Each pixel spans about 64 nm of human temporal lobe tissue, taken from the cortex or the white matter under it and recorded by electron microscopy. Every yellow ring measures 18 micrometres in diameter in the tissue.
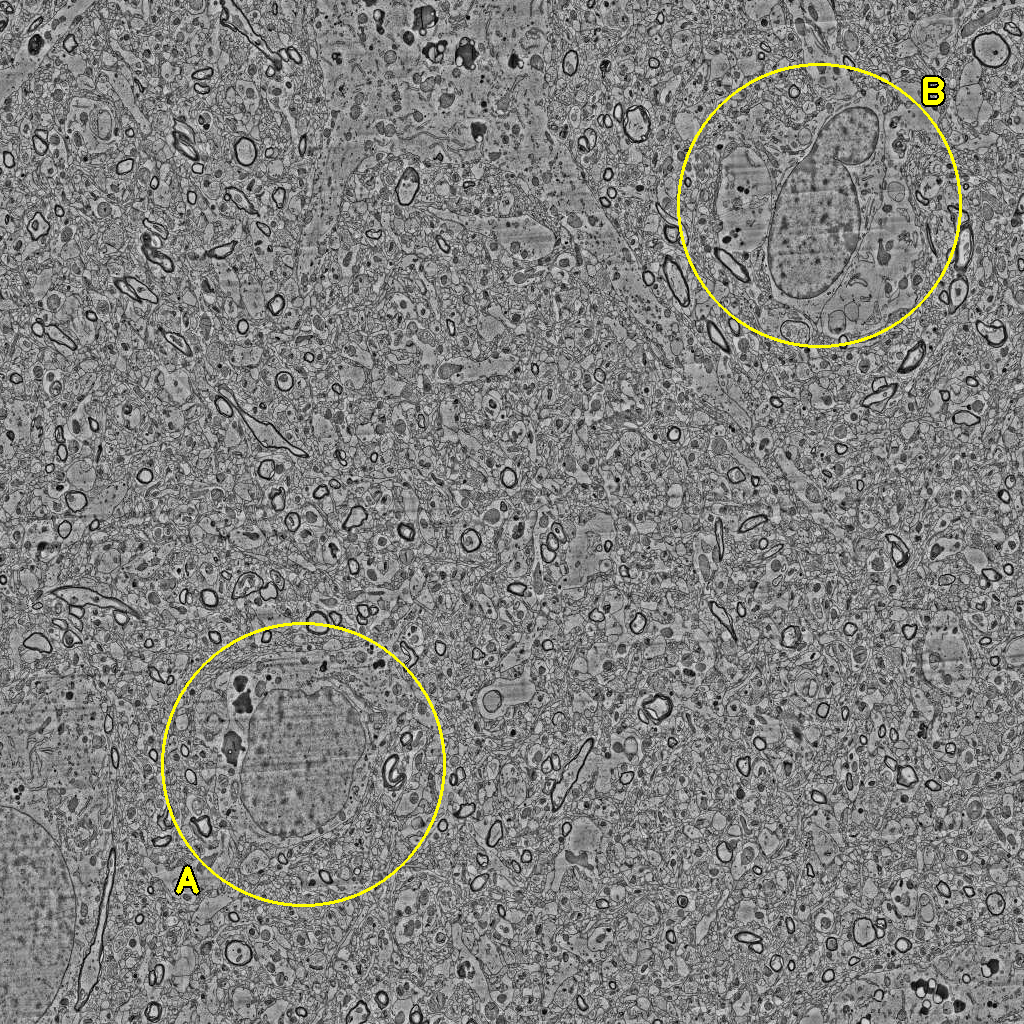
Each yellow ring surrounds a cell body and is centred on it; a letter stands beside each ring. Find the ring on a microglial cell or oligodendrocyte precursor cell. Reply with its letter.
B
